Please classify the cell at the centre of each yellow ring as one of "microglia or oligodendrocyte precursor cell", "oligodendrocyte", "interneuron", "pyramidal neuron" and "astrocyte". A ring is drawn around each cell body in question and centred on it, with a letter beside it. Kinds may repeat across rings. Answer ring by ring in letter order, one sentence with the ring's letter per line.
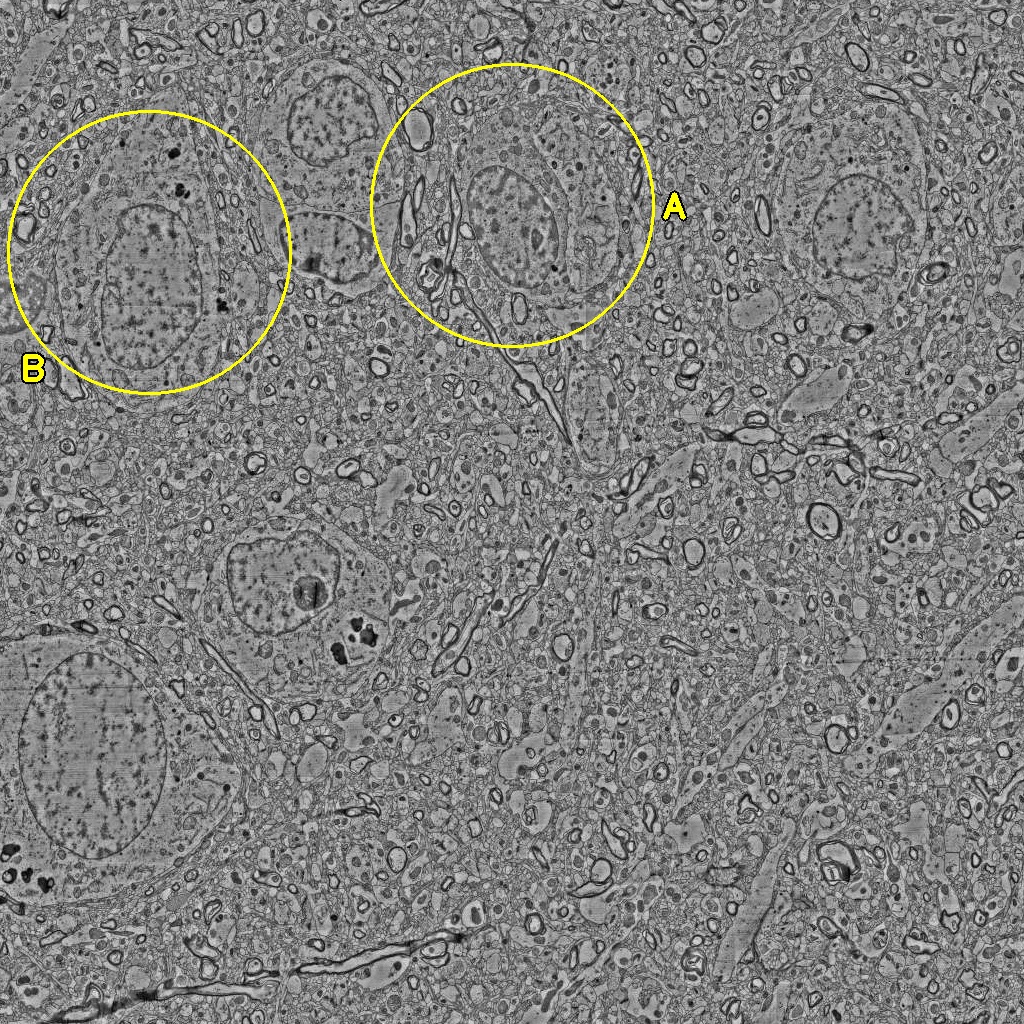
The cell at the heart of ring A is an oligodendrocyte.
The cell at the heart of ring B is a pyramidal neuron.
